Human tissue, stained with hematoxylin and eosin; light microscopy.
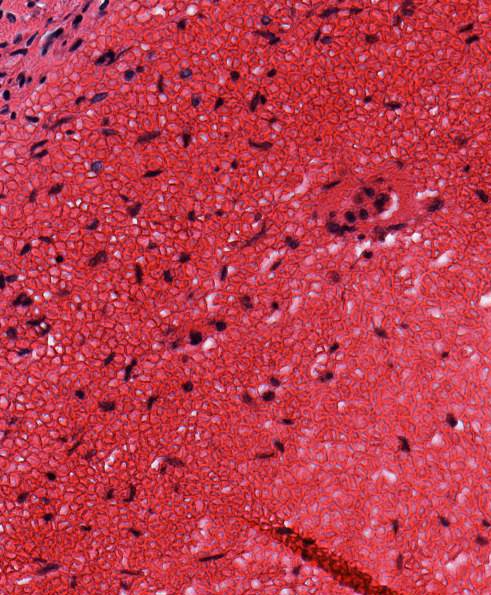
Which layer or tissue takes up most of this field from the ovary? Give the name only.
blood in a vessel or clot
